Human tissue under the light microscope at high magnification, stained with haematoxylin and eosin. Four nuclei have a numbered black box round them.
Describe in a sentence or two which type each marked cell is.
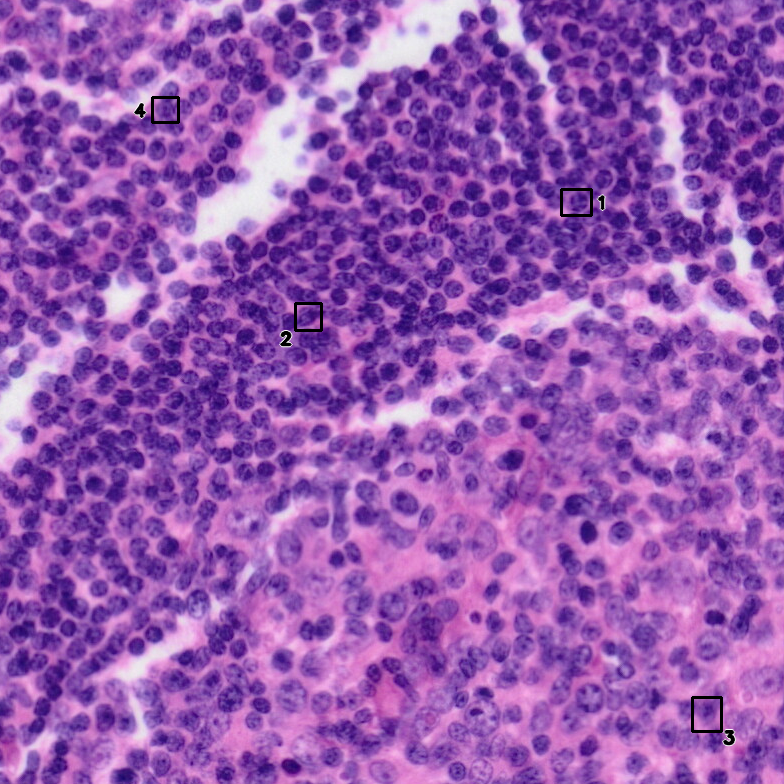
Cells 1, 2 and 4 are small lymphocytes. Cell 3 is a proliferating B cell.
